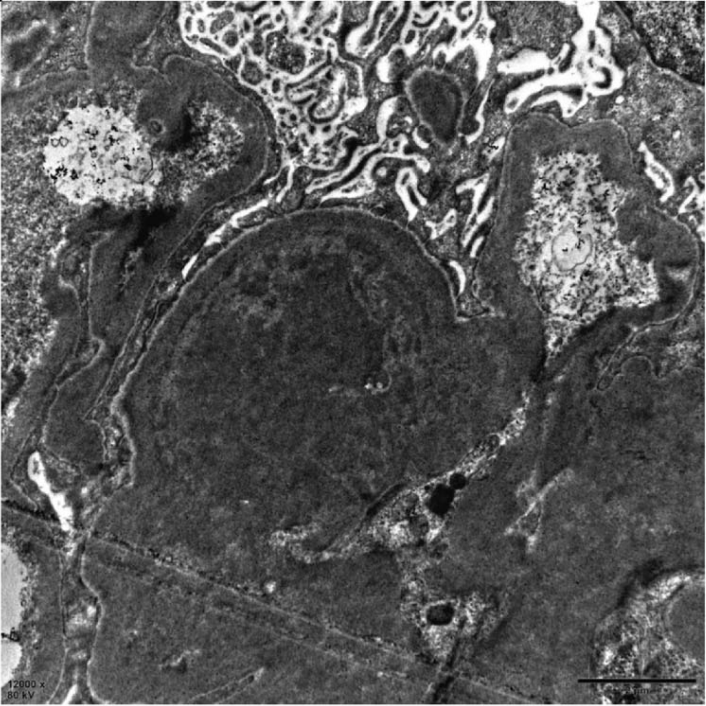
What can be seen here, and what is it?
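This is a glomerulus seen at high magnification, with capillary loops and the region between them. A large, dark, evenly dense mass occupies the centre of the field, bounded by a thin membrane line. Along the top edge, podocytes with many interdigitating processes and pale urinary spaces are seen. Two paler, rounded areas with granular contents lie to either side of the dark mass. Small dark round bodies and pale vesicular cytoplasm appear in the lower middle of the field.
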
